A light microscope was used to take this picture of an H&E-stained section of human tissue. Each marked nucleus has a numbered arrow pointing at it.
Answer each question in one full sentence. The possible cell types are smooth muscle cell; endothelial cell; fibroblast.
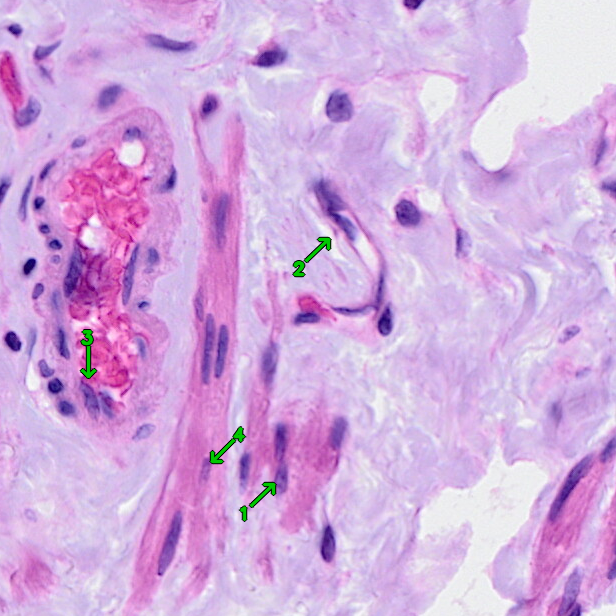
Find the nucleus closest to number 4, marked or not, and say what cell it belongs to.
The nucleus nearest to number 4 is that of a smooth muscle cell.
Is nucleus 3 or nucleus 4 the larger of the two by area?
Number 3 is larger; its area is about 2 times that of number 4.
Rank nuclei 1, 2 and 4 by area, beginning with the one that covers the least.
Smallest first, the nuclei run 4, 1, 2.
